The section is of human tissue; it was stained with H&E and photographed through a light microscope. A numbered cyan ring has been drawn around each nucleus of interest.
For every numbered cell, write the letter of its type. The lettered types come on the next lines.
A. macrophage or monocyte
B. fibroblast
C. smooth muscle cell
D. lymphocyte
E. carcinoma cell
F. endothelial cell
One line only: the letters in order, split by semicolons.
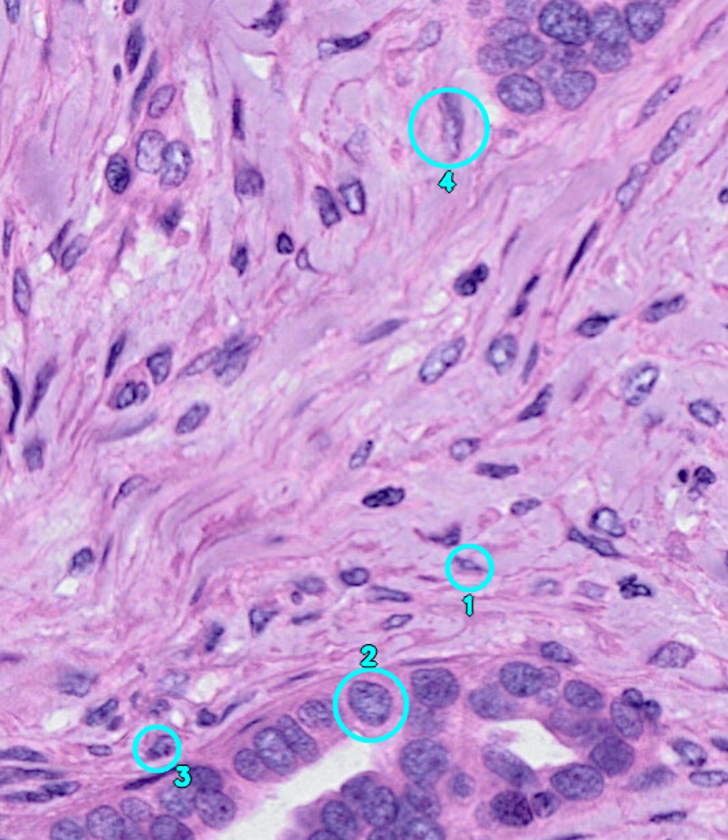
B; E; B; B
